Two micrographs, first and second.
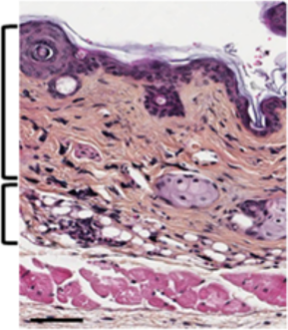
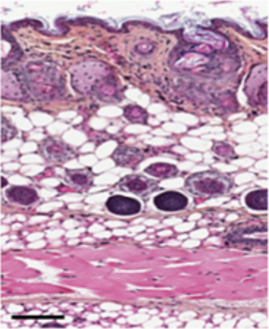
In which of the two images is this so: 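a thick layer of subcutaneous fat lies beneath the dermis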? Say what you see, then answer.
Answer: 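First image: only a thin, patchy layer of fat cells sits between the dense pink dermis and the muscle. Second image: a broad layer of large clear fat cells fills the middle of the section above the muscle. On this evidence: the second image.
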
